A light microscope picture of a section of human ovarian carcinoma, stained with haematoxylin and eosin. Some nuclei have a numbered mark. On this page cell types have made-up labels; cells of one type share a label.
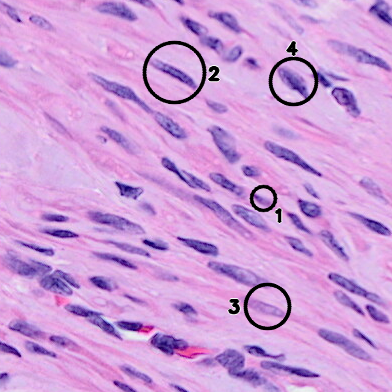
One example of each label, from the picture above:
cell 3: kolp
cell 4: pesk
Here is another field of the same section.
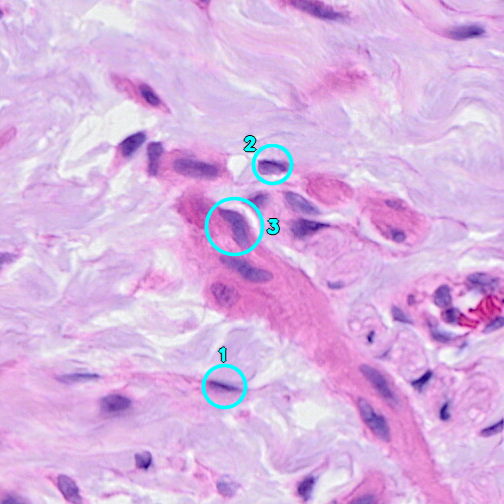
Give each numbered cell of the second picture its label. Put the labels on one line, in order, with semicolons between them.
pesk; pesk; kolp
